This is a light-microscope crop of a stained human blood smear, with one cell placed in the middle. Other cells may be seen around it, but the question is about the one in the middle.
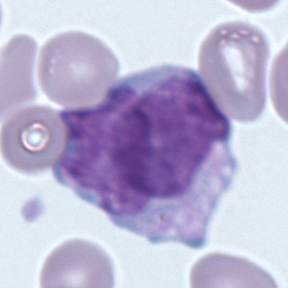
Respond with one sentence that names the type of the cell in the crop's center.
In the central position of this crop, the cell is an atypical promyelocyte.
